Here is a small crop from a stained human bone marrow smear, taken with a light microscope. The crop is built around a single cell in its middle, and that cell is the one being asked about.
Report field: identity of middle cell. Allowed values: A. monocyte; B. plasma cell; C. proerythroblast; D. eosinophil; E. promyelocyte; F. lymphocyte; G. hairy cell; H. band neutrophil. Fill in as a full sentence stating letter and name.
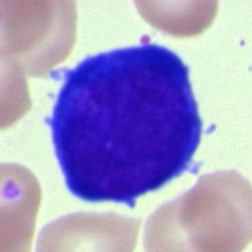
The correct identification, given in option C, is that the central cell is a proerythroblast.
